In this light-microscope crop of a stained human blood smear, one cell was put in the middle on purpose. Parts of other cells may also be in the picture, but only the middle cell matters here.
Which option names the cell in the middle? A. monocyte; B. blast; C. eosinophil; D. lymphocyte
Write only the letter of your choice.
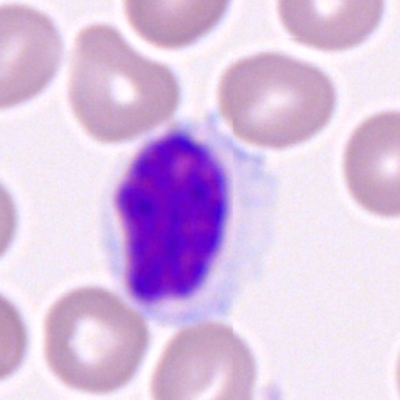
D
